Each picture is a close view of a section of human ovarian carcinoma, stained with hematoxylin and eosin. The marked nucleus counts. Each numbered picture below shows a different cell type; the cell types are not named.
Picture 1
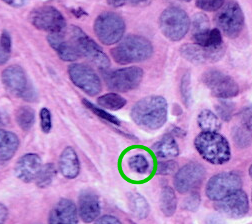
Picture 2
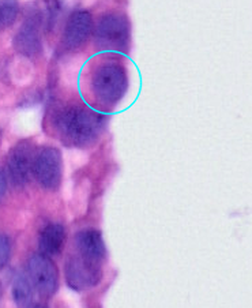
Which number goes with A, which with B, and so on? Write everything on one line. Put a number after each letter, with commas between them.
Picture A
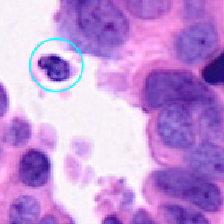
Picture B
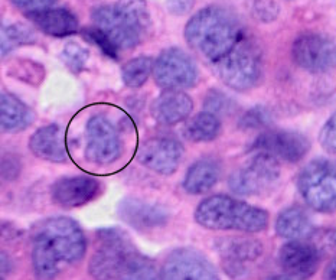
A 1, B 2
